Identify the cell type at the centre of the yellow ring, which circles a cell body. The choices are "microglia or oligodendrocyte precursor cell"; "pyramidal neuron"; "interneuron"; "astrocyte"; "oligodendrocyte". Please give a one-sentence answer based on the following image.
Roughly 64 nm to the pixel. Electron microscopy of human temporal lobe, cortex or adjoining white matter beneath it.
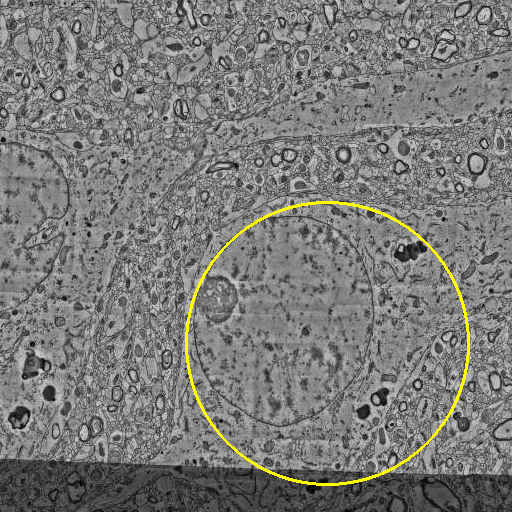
The cell marked by the ring is a pyramidal neuron.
